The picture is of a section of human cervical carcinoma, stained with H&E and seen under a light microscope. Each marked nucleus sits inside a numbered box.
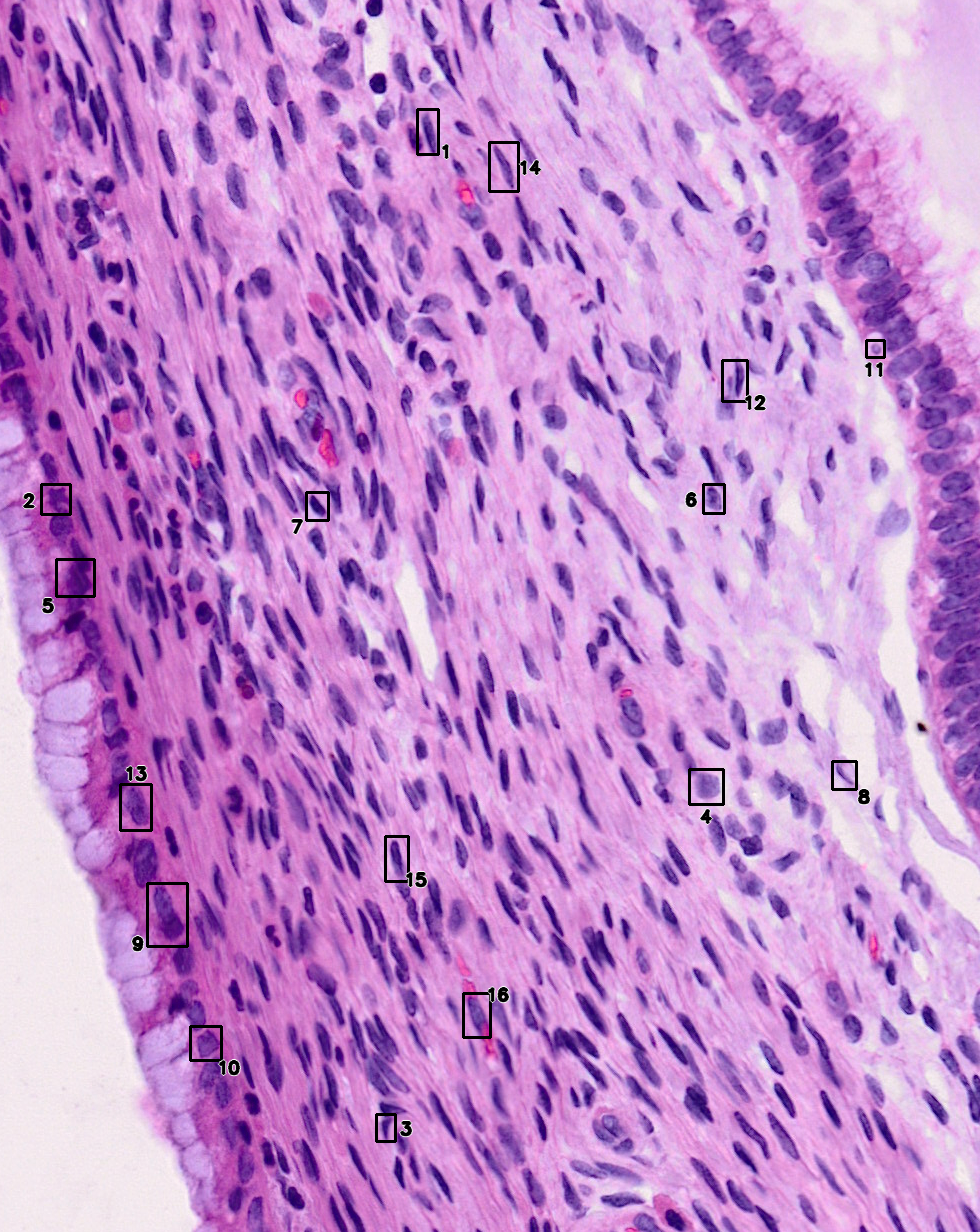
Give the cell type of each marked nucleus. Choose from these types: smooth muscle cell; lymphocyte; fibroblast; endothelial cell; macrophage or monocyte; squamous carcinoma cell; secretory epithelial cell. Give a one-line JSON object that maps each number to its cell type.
{"1": "fibroblast", "2": "secretory epithelial cell", "3": "fibroblast", "4": "fibroblast", "5": "secretory epithelial cell", "6": "fibroblast", "7": "fibroblast", "8": "fibroblast", "9": "secretory epithelial cell", "10": "secretory epithelial cell", "11": "secretory epithelial cell", "12": "fibroblast", "13": "secretory epithelial cell", "14": "fibroblast", "15": "fibroblast", "16": "endothelial cell"}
